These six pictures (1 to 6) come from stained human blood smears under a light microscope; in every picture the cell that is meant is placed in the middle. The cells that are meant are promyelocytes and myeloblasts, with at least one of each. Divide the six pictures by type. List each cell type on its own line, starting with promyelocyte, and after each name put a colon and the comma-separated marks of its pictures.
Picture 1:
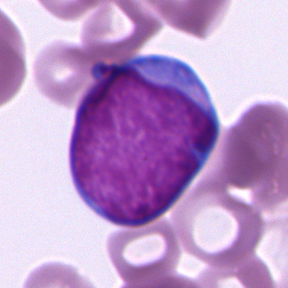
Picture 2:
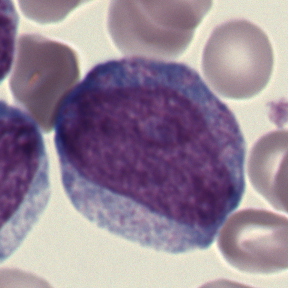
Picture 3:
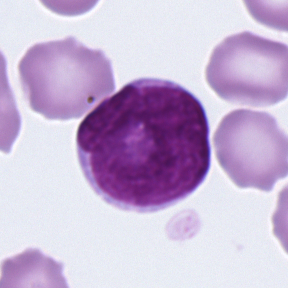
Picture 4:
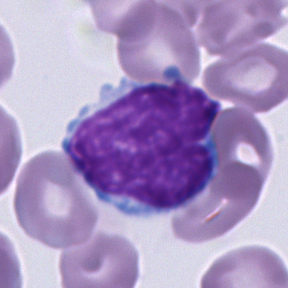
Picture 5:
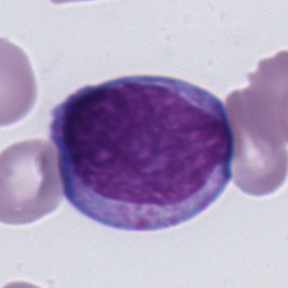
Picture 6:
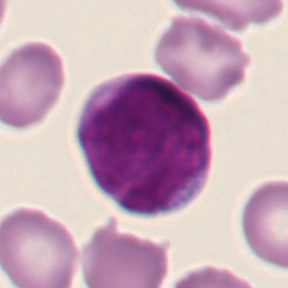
promyelocyte: 2, 5
myeloblast: 1, 3, 4, 6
